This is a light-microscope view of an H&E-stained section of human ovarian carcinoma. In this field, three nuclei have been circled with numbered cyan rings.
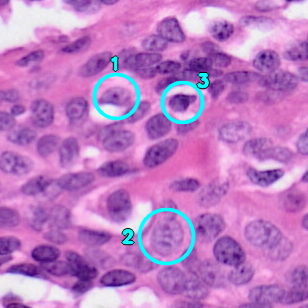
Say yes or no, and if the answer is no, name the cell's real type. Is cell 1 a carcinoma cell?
No, it is a macrophage or monocyte.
